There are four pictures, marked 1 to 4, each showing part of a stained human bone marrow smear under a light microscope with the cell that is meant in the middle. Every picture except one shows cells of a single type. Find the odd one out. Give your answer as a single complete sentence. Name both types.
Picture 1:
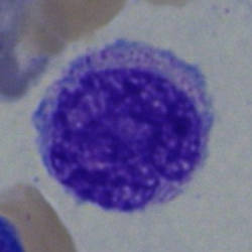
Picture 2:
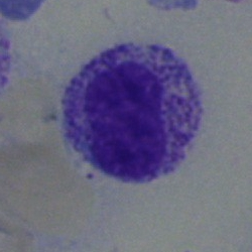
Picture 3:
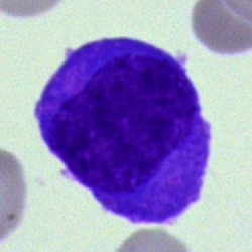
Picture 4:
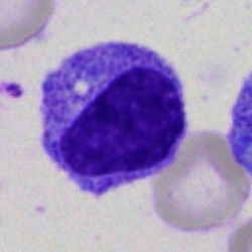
Picture 3 is the odd one out: it shows a blast, while the others show myelocytes.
